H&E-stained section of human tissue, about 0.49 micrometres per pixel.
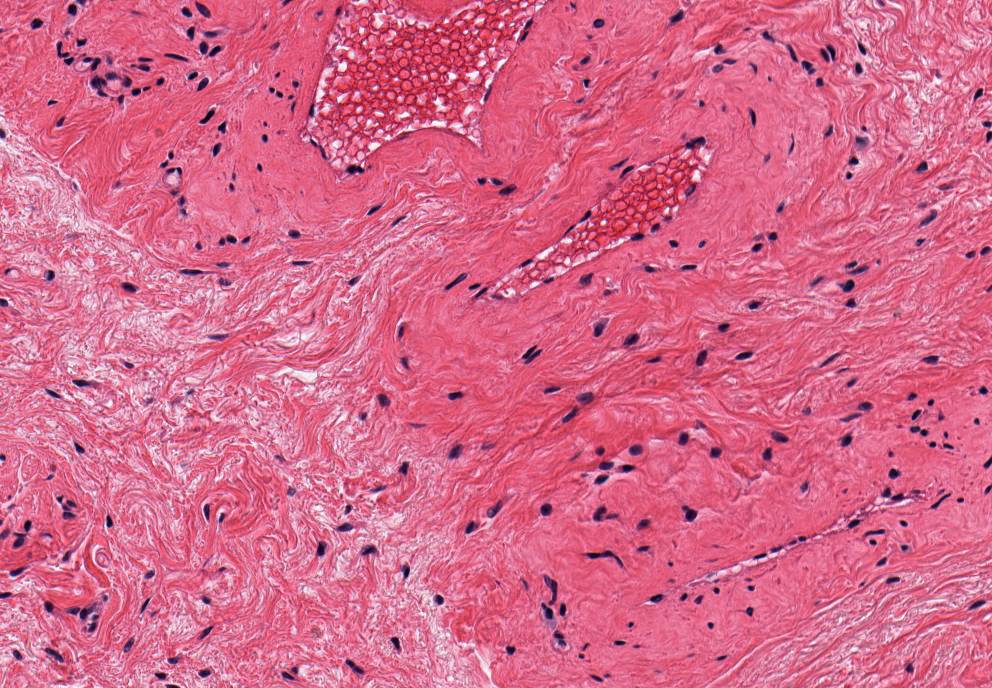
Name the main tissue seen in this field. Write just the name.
dense connective tissue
